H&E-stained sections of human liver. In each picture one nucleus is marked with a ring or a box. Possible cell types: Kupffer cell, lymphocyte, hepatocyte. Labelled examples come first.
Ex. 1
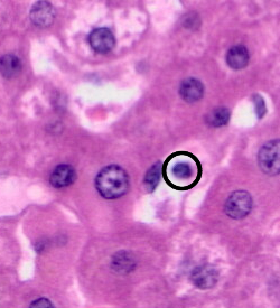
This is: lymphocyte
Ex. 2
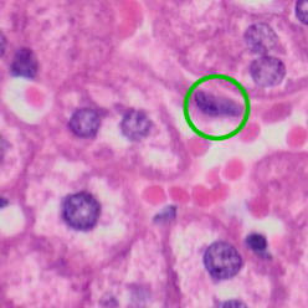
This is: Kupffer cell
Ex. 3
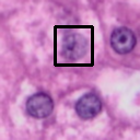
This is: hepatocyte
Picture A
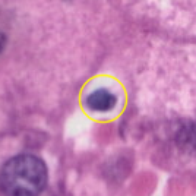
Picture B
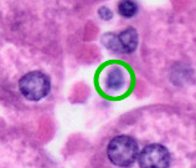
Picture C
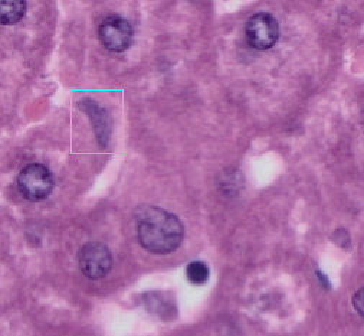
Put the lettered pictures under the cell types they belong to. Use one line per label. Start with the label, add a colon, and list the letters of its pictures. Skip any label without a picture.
Kupffer cell: C
lymphocyte: A, B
